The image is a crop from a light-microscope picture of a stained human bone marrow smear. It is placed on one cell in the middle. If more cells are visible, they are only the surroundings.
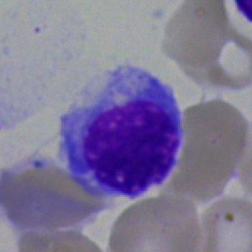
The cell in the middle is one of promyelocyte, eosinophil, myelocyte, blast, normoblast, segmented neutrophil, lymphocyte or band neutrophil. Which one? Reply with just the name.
normoblast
